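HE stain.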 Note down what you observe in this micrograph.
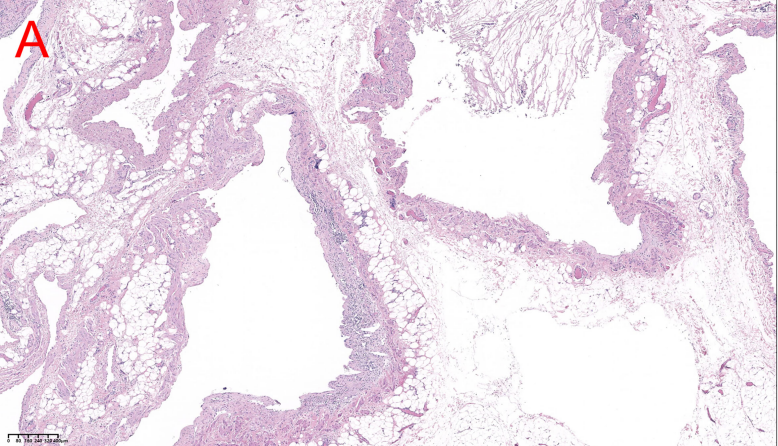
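At low power this lymphangioma shows several large, irregular, empty spaces, which are dilated lymphatic spaces. Between the spaces lie loose, pale stroma and clusters of clear fat cells.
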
